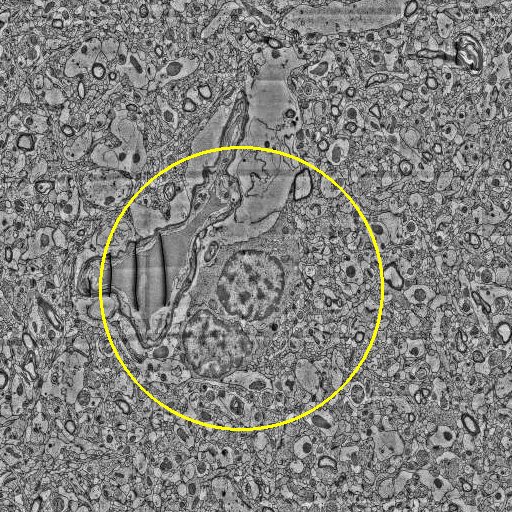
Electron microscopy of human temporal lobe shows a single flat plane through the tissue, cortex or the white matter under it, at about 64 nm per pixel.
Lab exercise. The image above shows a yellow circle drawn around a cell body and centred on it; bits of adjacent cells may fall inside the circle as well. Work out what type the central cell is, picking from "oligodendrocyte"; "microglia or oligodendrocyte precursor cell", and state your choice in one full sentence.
In the image above, the cell at the centre of the yellow circle is an oligodendrocyte.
